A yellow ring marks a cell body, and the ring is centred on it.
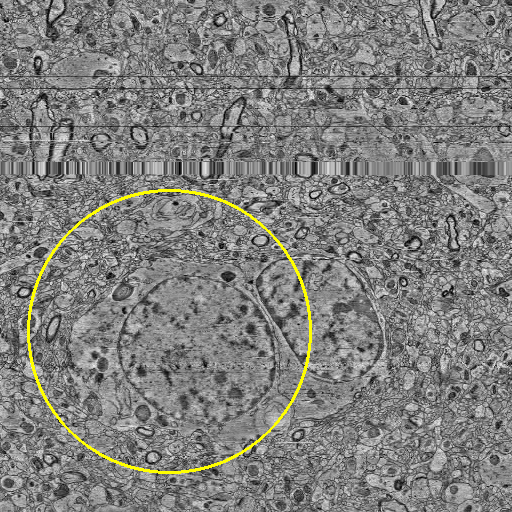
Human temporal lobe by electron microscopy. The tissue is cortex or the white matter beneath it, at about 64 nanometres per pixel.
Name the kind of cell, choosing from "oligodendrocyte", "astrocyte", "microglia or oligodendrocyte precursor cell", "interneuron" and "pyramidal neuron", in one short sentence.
The marked cell body belongs to an astrocyte.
